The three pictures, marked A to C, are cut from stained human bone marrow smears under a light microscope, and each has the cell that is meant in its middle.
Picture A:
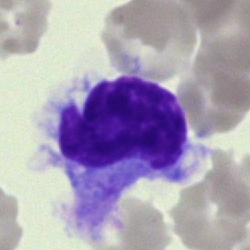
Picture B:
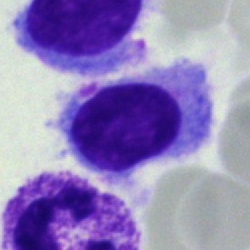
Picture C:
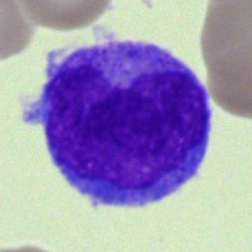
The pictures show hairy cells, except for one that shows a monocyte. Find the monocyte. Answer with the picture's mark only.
C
